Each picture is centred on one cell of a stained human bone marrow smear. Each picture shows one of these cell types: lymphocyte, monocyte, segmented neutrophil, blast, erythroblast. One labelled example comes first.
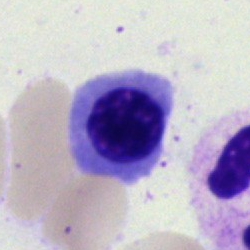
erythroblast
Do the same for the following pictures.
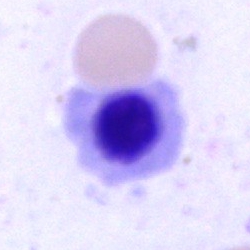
erythroblast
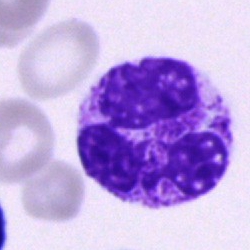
segmented neutrophil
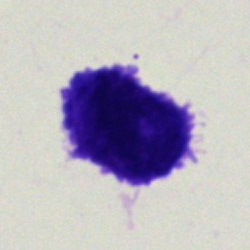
blast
